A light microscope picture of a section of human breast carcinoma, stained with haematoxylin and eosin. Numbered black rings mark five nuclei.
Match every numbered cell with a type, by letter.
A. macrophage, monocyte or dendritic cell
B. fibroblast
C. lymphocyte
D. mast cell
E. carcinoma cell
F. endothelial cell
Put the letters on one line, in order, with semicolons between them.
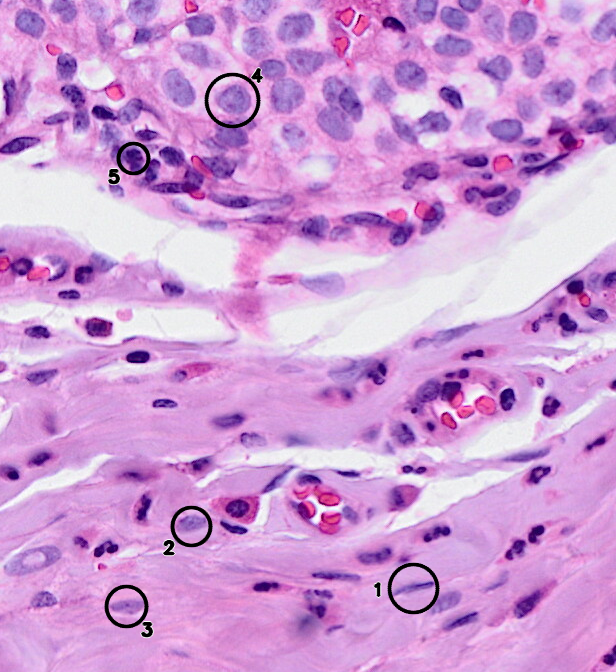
B; B; B; E; C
